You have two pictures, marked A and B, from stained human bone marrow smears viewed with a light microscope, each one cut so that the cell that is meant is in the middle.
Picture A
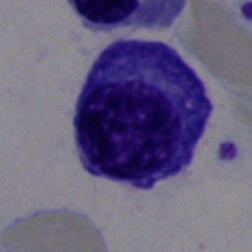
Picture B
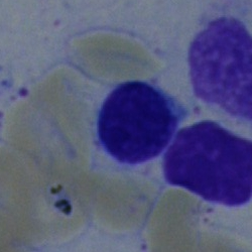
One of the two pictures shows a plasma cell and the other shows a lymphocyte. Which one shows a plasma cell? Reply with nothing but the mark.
A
